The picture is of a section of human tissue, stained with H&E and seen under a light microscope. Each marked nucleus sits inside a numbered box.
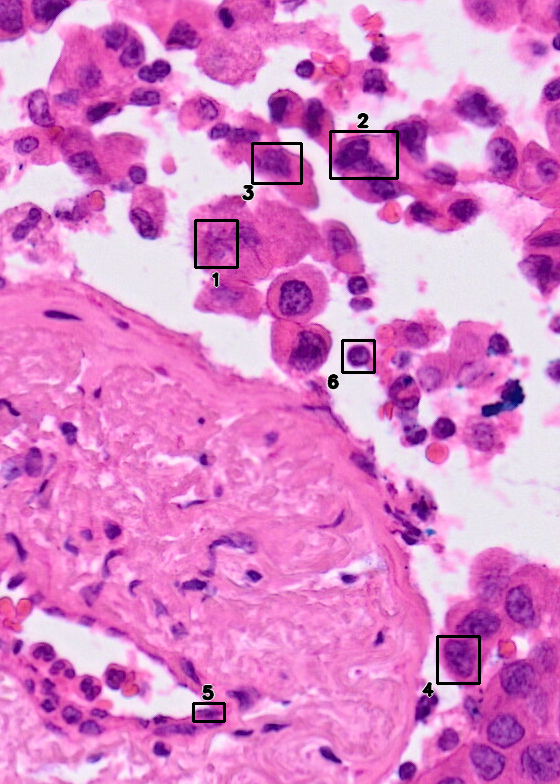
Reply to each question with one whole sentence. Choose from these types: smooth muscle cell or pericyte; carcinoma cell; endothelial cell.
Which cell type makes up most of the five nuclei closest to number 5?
Most of the five nuclei nearest to number 5 are those of smooth muscle cells or pericytes.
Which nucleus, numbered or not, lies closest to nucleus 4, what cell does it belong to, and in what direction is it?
The closest nucleus belongs to a carcinoma cell and sits above and to the right of nucleus 4.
